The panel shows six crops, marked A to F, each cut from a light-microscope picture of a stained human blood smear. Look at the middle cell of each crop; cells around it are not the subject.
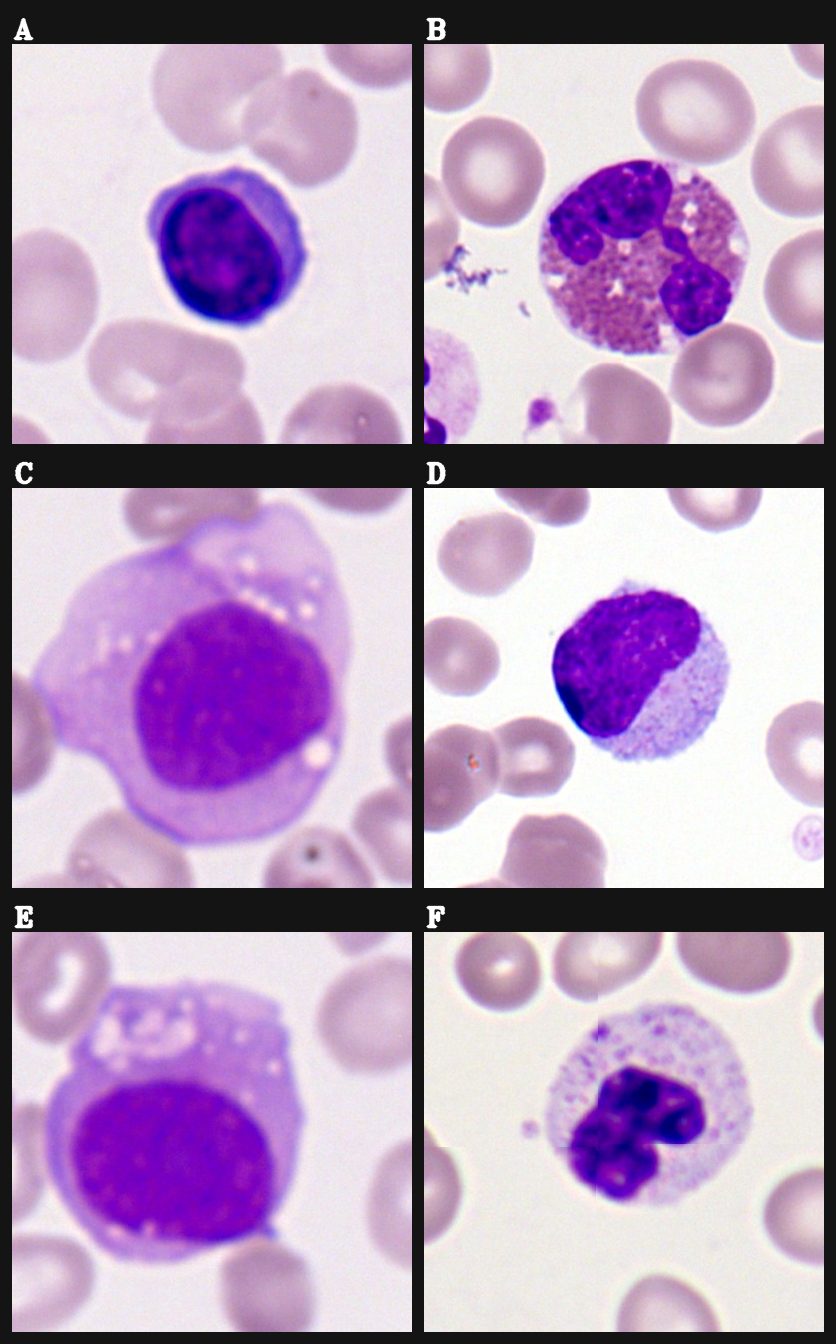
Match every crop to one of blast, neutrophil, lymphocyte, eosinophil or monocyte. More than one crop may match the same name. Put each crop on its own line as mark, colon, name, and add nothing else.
A: lymphocyte
B: eosinophil
C: monocyte
D: lymphocyte
E: monocyte
F: neutrophil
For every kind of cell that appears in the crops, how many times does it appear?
lymphocyte: 2
monocyte: 2
eosinophil: 1
neutrophil: 1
